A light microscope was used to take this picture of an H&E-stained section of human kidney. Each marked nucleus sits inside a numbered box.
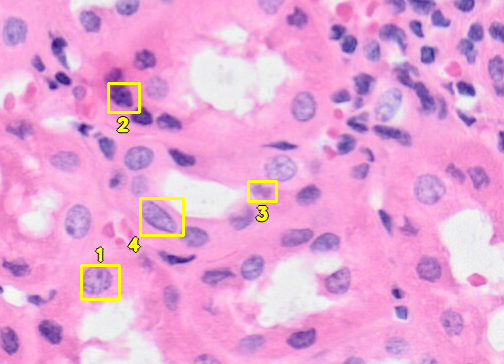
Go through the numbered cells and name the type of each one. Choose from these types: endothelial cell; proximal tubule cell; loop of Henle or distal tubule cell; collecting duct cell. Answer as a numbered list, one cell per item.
1. proximal tubule cell
2. proximal tubule cell
3. collecting duct cell
4. collecting duct cell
